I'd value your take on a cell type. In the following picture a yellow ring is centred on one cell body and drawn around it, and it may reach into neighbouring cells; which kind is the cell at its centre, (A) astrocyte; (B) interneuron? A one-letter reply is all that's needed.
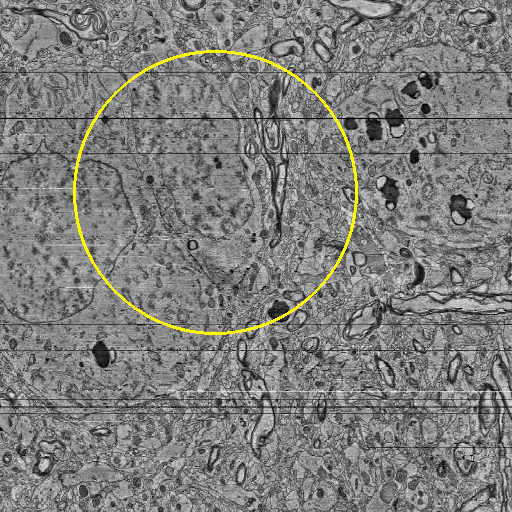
B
